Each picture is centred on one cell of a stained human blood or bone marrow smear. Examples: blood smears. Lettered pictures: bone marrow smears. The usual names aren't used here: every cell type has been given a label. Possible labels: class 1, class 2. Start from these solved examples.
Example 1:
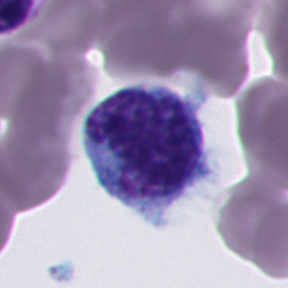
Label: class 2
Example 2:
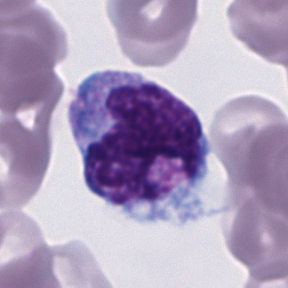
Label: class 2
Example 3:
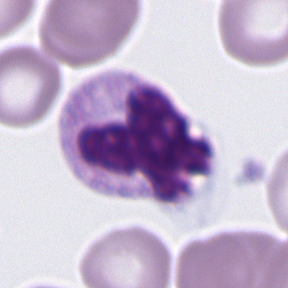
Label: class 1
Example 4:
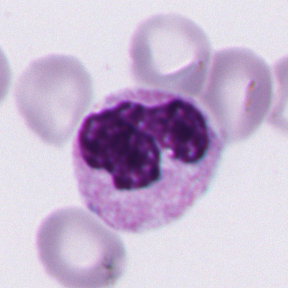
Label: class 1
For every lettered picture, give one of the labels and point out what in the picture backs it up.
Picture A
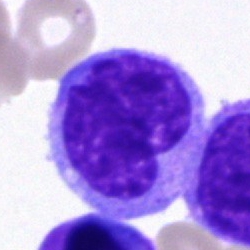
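Label: class 2. The nucleus fills most of the cell.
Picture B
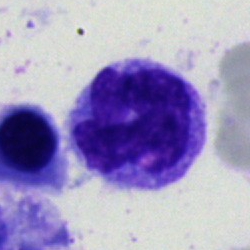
Label: class 2. The nucleus fills most of the cell.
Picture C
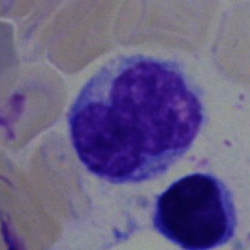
Label: class 2. The cytoplasm forms only a thin rim around the nucleus.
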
